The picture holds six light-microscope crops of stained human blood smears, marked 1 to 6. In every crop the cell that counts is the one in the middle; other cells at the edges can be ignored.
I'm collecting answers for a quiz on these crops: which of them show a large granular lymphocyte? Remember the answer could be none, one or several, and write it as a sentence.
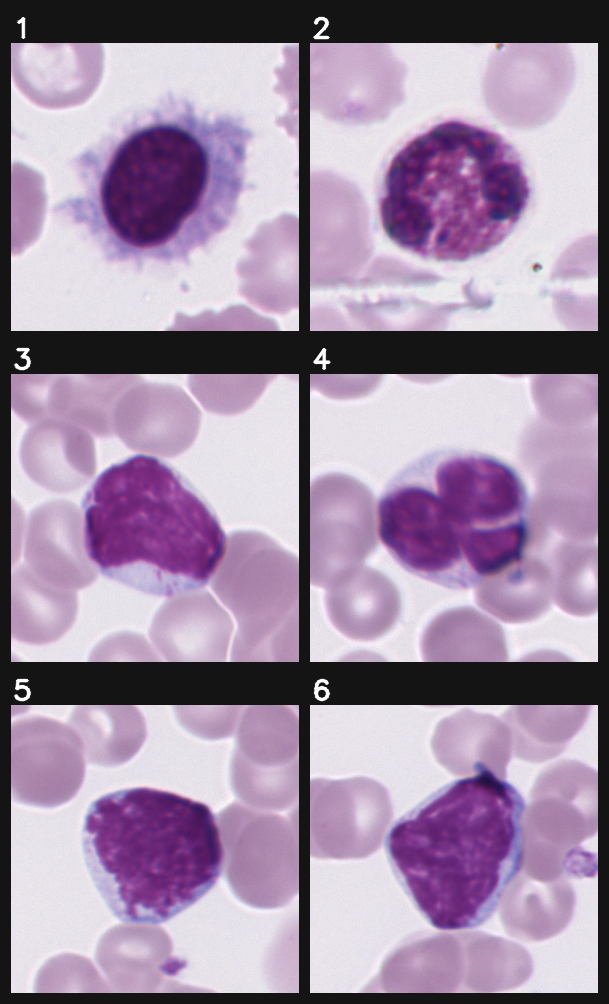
Crops 3, 4, 5 and 6 display large granular lymphocytes in the centre of the field.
